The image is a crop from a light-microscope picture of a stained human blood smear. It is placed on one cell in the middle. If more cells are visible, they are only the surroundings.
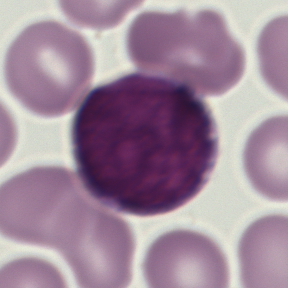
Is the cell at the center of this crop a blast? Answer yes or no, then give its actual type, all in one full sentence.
Yes, the cell right in the middle is a blast.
